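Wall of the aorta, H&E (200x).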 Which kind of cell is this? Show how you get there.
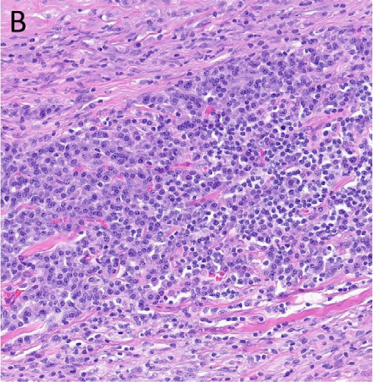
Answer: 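A dense sheet of small round cells with dark round nuclei lies between pink collagen bundles. Some cells have eccentric nuclei with more abundant pink-purple cytoplasm. The answer: lymphocytes and plasma cells.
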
